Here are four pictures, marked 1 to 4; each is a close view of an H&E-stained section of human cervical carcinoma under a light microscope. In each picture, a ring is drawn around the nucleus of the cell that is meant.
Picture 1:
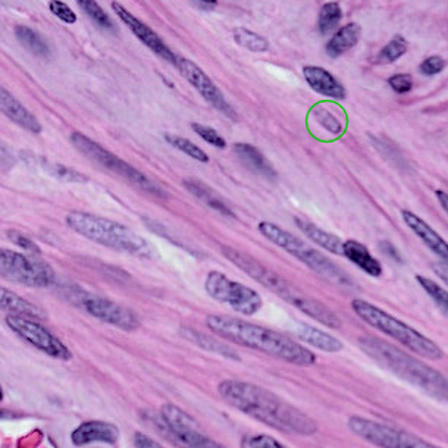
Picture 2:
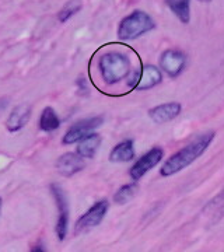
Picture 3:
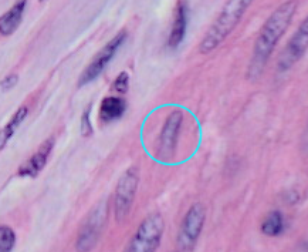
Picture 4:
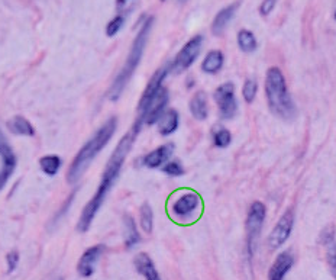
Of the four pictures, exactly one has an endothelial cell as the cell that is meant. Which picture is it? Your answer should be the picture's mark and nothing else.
2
